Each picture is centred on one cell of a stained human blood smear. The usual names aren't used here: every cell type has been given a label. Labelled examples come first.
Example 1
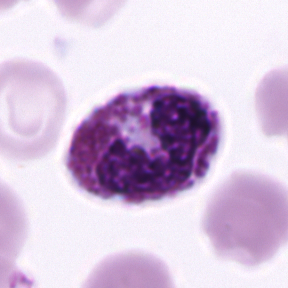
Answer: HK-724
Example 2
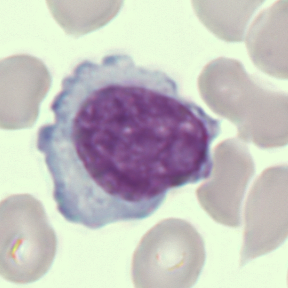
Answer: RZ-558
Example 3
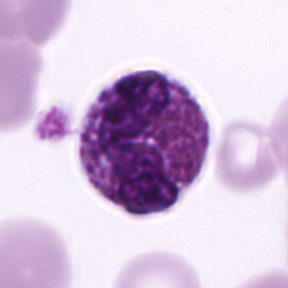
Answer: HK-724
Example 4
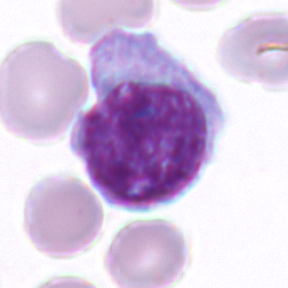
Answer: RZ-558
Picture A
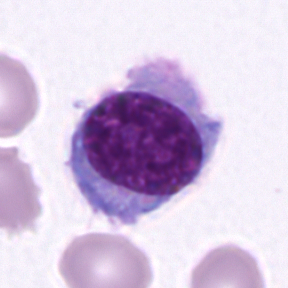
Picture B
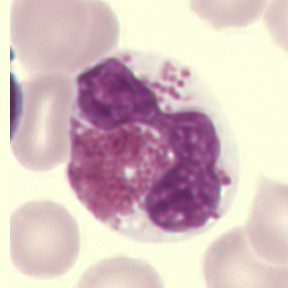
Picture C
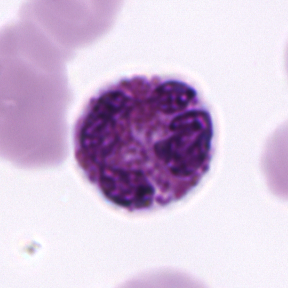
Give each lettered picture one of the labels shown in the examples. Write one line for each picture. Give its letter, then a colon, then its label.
A: RZ-558
B: HK-724
C: HK-724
